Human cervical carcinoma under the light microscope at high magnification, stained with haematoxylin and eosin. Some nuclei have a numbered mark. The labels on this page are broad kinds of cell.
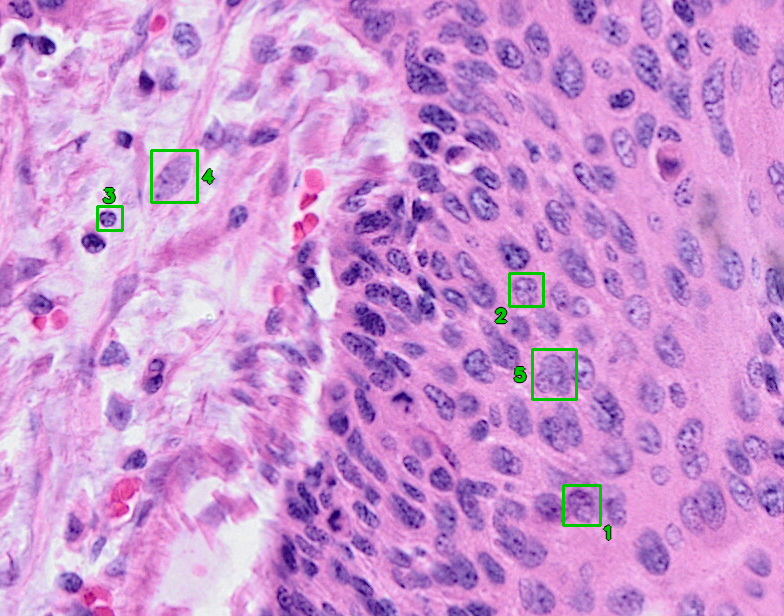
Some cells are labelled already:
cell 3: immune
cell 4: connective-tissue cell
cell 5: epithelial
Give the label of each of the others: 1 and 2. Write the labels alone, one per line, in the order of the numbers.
epithelial
epithelial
